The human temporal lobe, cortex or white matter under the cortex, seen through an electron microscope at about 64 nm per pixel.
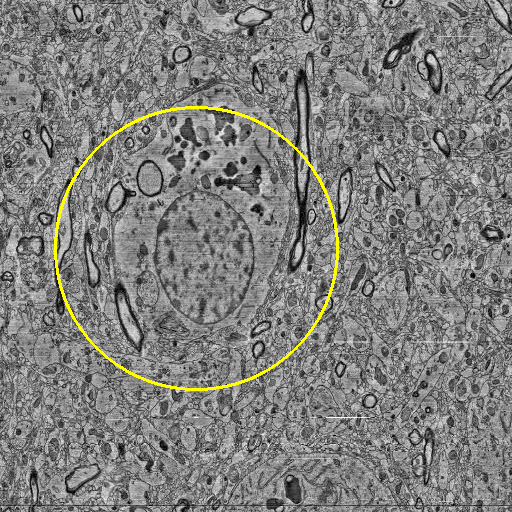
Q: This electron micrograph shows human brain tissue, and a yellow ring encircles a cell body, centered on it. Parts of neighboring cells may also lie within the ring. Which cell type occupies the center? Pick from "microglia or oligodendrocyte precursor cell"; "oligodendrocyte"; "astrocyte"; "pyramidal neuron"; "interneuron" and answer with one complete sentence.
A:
What sits at the ring's center in this micrograph is an astrocyte, among those choices.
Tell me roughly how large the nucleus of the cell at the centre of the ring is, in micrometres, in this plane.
About 9 by 6 micrometers for the nucleus, in this plane.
